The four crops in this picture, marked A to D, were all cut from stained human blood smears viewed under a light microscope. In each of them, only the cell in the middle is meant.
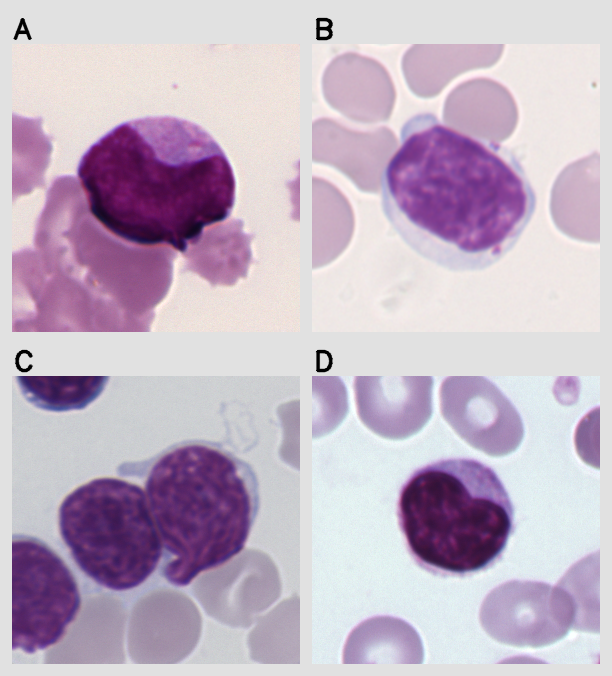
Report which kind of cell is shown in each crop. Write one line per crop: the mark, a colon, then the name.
A: blast
B: large granular lymphocyte
C: blast
D: large granular lymphocyte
